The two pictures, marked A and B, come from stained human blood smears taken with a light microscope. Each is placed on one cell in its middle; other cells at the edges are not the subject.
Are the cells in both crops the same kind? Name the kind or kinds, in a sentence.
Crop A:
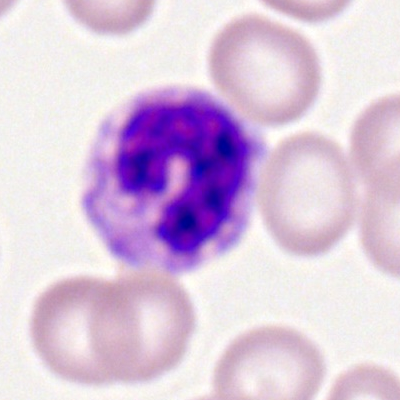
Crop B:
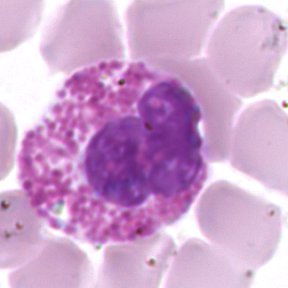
No, for crop A the cell is a band neutrophil, and for crop B it is an eosinophil.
